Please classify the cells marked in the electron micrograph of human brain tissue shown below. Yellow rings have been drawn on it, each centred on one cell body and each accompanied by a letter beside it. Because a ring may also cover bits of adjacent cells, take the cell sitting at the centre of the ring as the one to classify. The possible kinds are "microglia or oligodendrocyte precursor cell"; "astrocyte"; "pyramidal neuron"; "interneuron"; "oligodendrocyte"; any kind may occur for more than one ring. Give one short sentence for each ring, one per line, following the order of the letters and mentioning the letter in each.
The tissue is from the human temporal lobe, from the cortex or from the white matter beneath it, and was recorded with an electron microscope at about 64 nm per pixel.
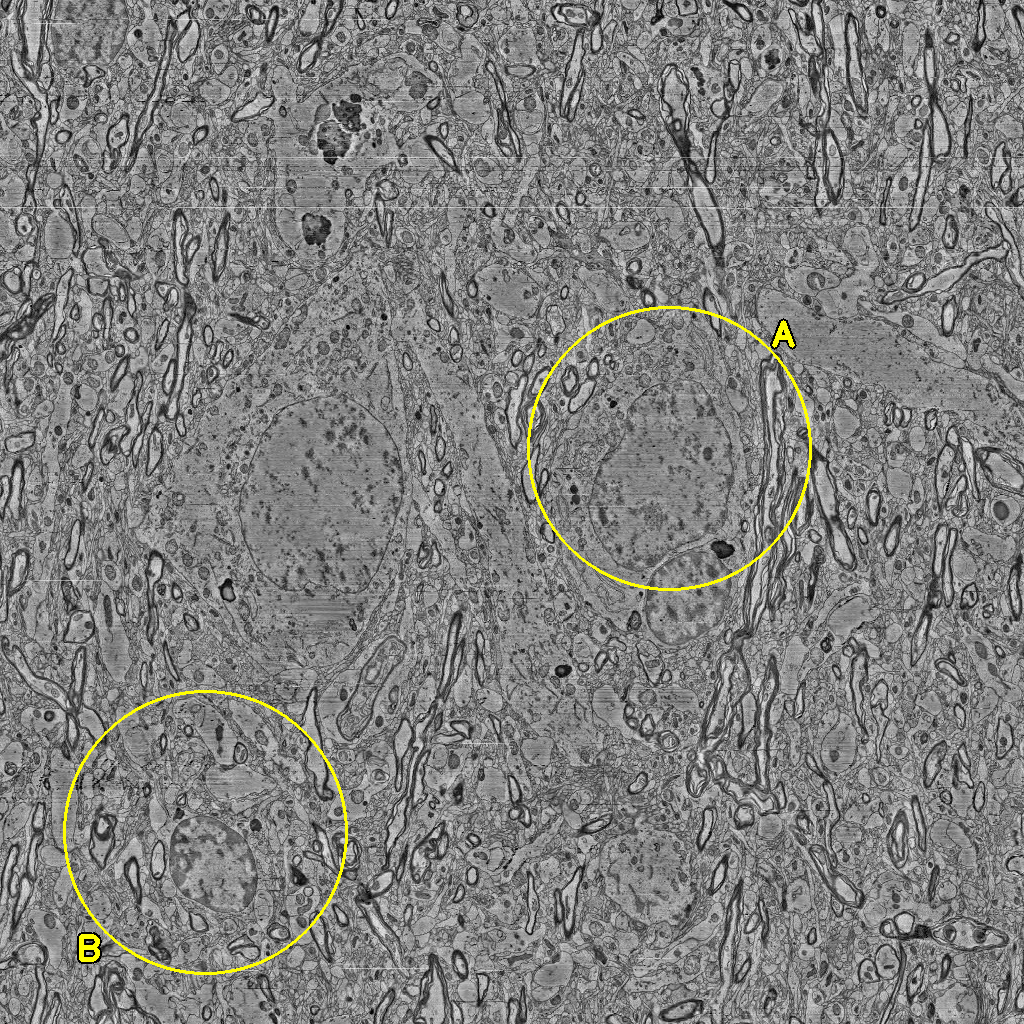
Ring A marks the cell body of an interneuron.
Ring B marks the cell body of a microglial cell or oligodendrocyte precursor cell.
